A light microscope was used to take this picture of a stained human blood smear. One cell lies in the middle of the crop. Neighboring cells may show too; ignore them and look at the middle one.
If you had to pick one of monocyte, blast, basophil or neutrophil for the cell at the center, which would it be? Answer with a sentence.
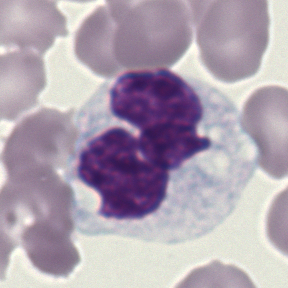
Framed in the middle of the crop is a monocyte.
